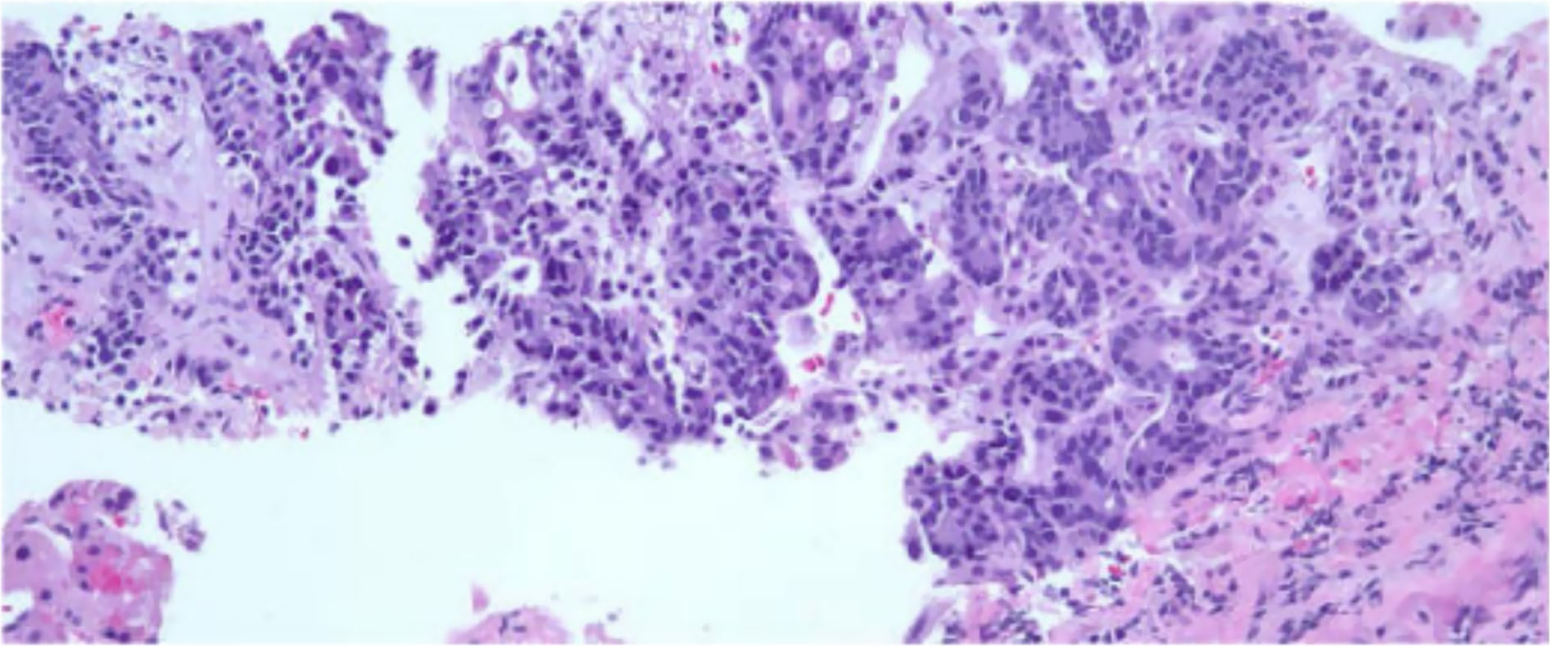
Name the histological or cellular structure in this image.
malignant glands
